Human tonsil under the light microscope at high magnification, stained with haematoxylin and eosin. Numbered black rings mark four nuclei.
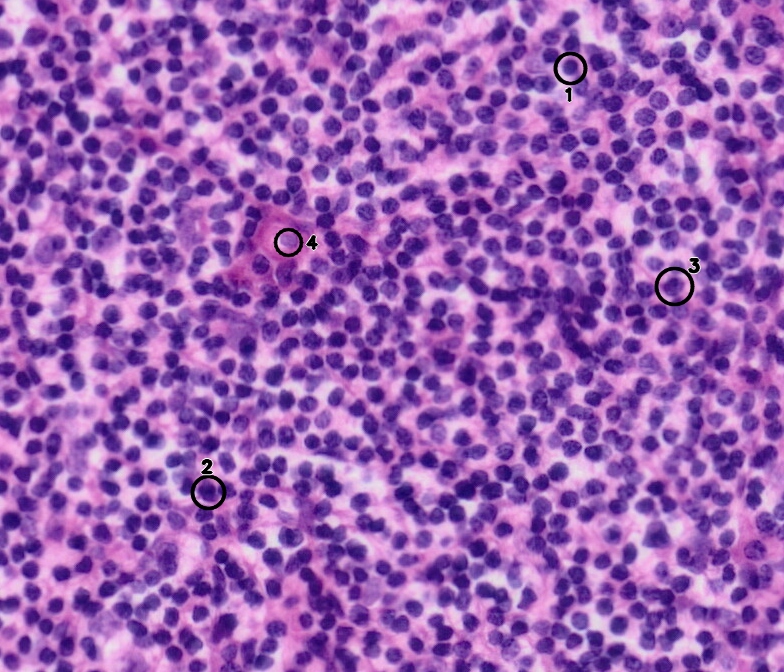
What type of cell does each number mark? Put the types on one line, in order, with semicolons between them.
small lymphocyte; small lymphocyte; small lymphocyte; endothelial cell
